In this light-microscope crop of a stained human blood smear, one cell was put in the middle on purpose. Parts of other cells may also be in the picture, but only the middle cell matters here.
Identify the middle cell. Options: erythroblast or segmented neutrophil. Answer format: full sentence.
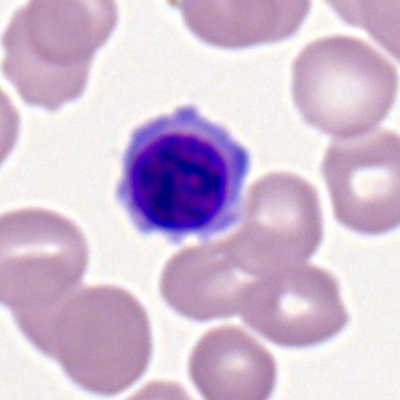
Within this crop, an erythroblast occupies the central position.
